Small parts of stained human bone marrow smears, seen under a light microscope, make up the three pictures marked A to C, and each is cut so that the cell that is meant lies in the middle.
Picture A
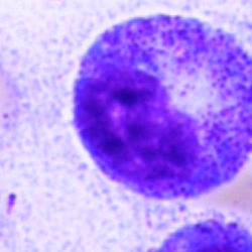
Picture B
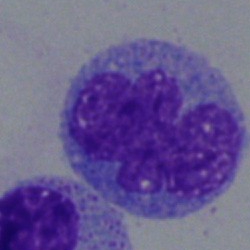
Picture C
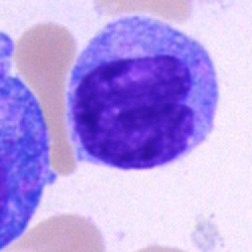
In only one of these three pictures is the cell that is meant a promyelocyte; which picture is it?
A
